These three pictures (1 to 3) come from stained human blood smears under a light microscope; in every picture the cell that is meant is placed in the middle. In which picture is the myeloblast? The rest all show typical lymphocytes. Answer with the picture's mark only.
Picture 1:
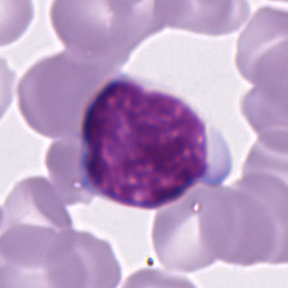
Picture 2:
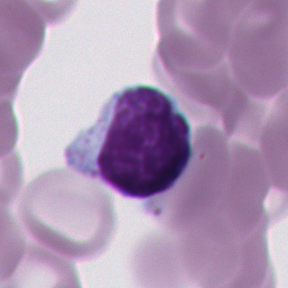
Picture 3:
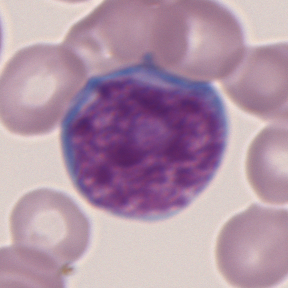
3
